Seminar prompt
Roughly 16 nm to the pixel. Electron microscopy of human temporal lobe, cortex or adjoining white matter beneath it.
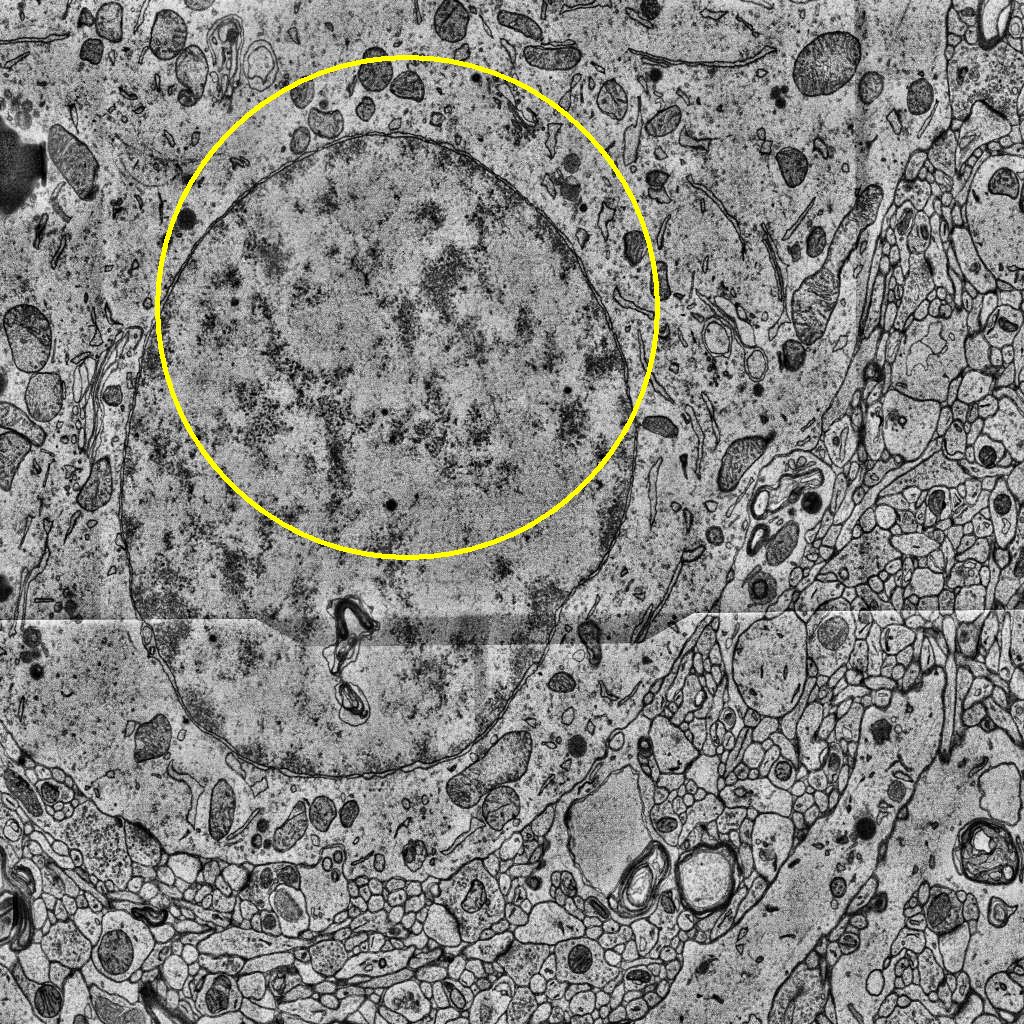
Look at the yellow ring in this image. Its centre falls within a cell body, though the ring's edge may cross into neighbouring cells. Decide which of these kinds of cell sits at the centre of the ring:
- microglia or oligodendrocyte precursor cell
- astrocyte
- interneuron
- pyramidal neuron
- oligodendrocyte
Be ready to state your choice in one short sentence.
The kind of cell at the ring's centre is an interneuron.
